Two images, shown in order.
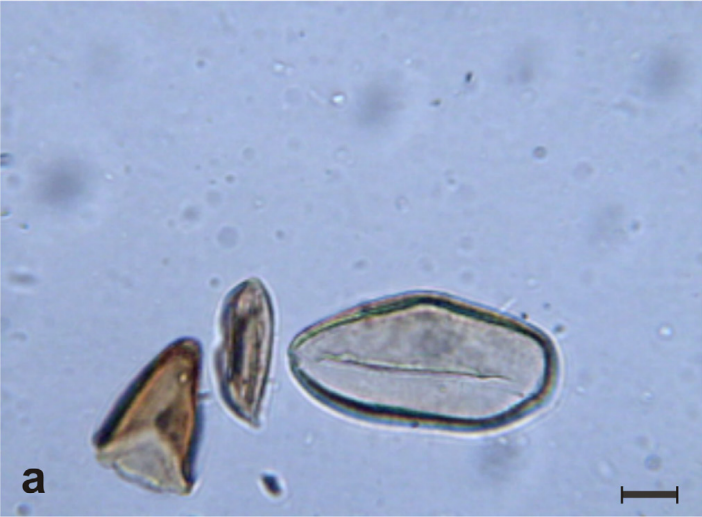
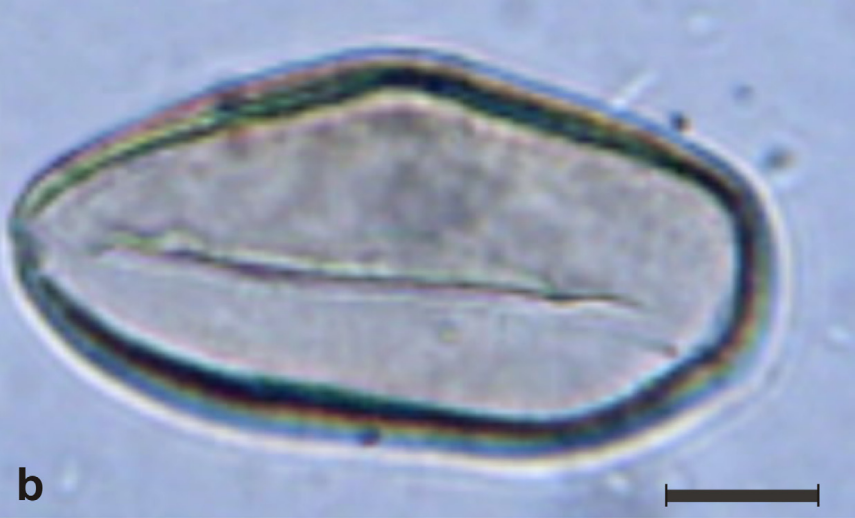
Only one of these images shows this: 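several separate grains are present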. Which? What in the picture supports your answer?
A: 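Second image: a single oval grain fills the field. First image: three grains of different shapes lie side by side.
Hence: the first image.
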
